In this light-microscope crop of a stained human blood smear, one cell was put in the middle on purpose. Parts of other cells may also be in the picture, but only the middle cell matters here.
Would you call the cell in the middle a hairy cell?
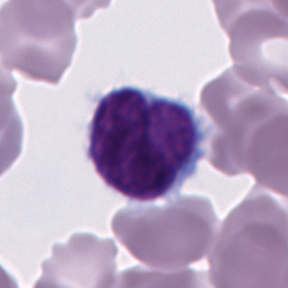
yes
